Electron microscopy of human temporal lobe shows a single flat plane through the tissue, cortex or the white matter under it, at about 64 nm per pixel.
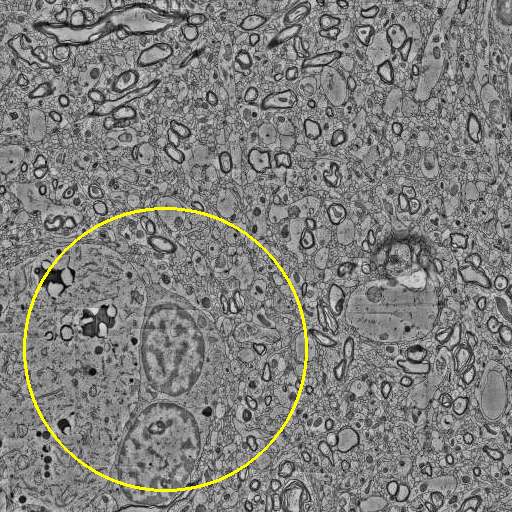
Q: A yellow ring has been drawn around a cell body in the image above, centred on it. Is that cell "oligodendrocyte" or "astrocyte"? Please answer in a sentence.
The ring surrounds the cell body of an oligodendrocyte.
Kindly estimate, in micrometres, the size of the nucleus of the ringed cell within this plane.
In this plane the nucleus spans approximately 6 by 4 micrometers.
